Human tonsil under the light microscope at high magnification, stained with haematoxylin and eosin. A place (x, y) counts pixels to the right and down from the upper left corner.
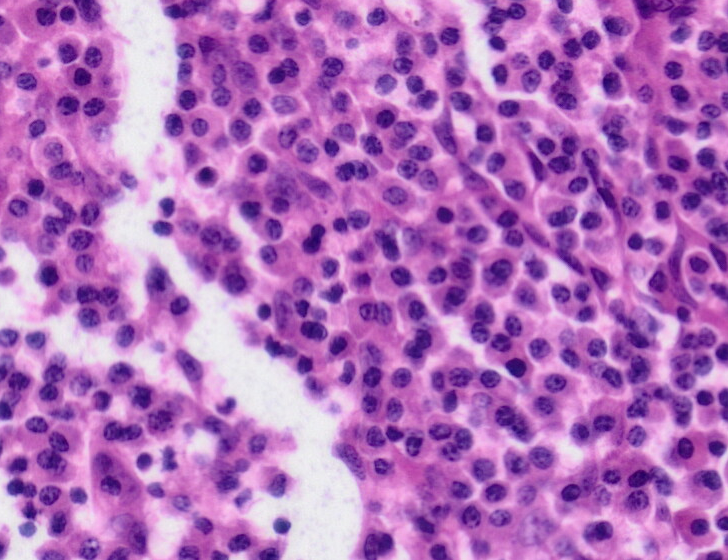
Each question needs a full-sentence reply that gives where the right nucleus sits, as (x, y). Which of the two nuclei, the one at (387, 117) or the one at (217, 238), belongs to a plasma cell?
It is the nucleus at (387, 117) that belongs to a plasma cell.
